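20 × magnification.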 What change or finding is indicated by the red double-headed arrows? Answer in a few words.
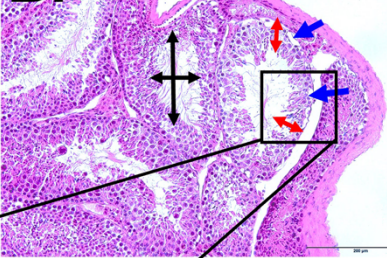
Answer: reduced epithelial height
